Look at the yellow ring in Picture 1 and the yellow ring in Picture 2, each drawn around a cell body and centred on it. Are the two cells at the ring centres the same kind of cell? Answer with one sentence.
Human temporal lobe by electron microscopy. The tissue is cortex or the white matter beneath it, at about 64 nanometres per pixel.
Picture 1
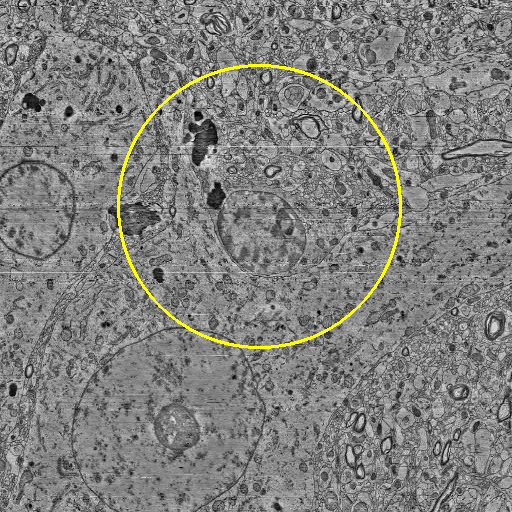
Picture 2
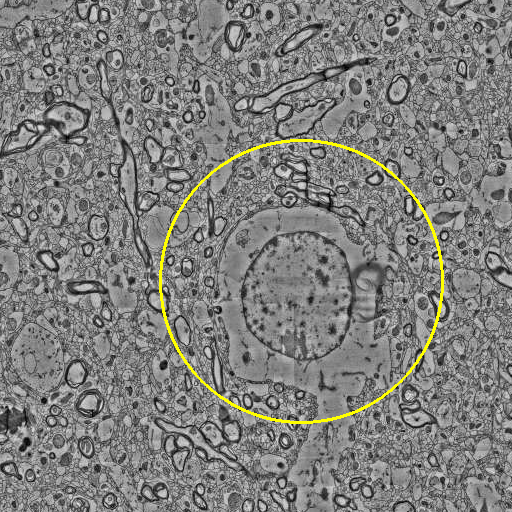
No, they are cells of two kinds.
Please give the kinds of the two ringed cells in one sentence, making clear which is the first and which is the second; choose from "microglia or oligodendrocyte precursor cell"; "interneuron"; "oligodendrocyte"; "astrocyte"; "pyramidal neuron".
In the second picture the ringed cell is an astrocyte; in the first it is an oligodendrocyte.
